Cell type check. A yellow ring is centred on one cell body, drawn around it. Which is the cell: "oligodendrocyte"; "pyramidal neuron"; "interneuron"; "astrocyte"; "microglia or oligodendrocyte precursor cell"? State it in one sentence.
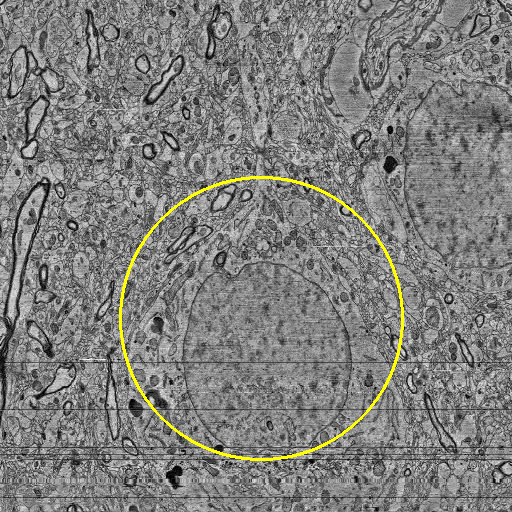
The cell body at the ring's centre belongs to an interneuron.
